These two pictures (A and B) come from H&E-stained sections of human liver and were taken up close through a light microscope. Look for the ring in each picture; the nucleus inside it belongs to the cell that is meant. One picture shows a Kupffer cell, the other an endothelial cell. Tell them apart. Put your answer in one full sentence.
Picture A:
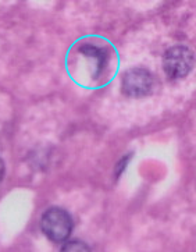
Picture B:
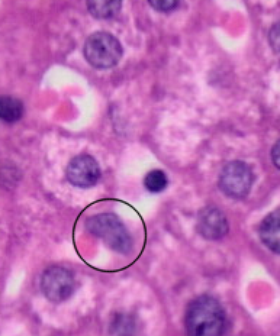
In picture A the cell is an endothelial cell; in picture B, a Kupffer cell.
